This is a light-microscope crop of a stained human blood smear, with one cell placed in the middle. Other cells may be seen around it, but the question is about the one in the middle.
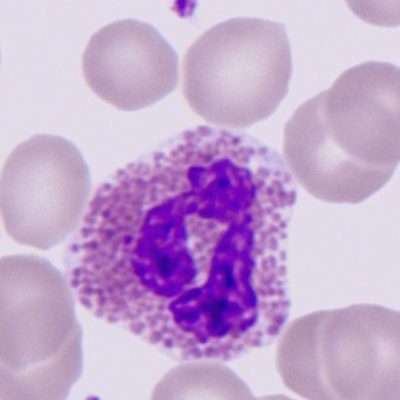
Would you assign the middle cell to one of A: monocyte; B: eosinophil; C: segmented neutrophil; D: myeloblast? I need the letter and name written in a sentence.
Option B is the correct selection, for the cell at the centre is an eosinophil.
